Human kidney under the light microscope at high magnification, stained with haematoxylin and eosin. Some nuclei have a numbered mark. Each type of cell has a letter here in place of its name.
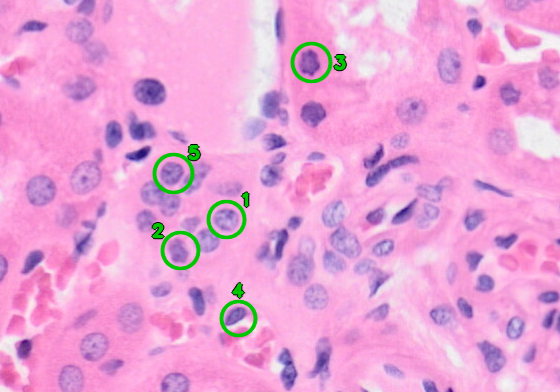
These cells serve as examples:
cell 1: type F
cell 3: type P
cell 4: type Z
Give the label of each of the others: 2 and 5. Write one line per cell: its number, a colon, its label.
2: type F
5: type F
